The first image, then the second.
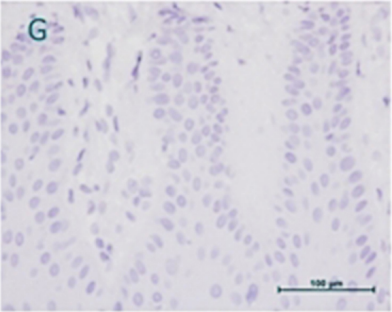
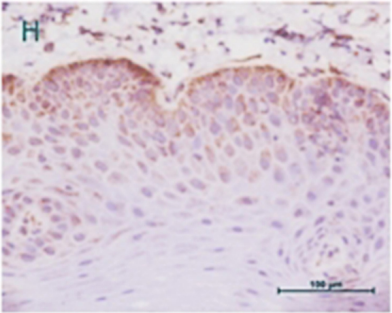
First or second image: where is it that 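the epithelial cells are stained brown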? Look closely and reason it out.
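Second image: epithelial cells show clear brown cytoplasm and nuclei, strongest near the connective tissue. First image: epithelial cells are blue only, with no brown.
Answer: the second image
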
